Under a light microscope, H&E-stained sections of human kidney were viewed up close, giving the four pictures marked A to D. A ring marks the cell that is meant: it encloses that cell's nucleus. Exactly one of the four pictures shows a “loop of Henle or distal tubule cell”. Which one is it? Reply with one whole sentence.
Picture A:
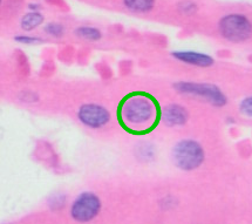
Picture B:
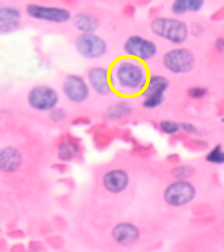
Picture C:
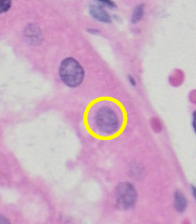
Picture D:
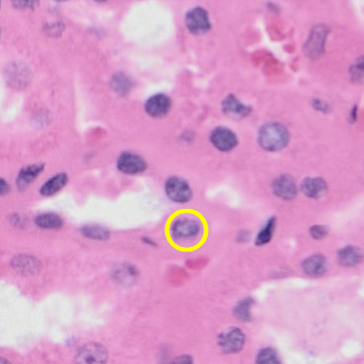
Picture A is the one that shows the “loop of Henle or distal tubule cell”.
